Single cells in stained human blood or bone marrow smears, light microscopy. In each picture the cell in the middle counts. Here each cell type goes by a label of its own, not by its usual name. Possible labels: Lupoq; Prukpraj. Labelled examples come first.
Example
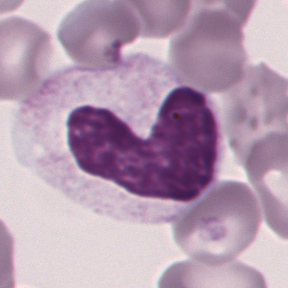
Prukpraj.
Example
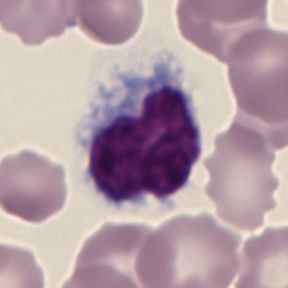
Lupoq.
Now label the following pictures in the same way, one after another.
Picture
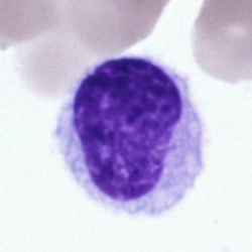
Lupoq.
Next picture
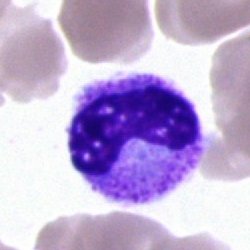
Prukpraj.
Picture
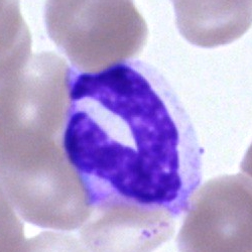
Prukpraj.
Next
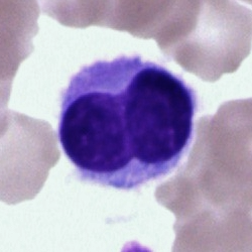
Lupoq.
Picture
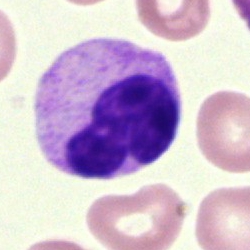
Prukpraj.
